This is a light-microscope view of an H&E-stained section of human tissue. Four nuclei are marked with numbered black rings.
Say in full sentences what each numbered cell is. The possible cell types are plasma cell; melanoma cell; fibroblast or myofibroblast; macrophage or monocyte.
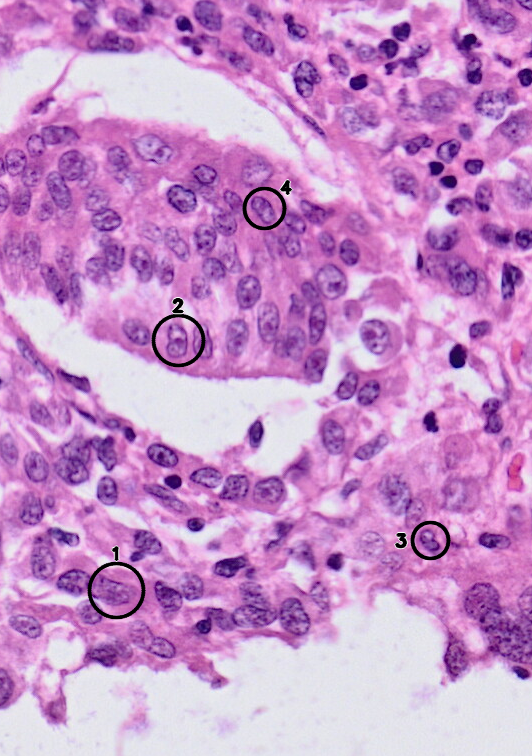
Cell 1 is a melanoma cell, cell 2 is a melanoma cell, cell 3 is a macrophage or monocyte and cell 4 is a melanoma cell.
